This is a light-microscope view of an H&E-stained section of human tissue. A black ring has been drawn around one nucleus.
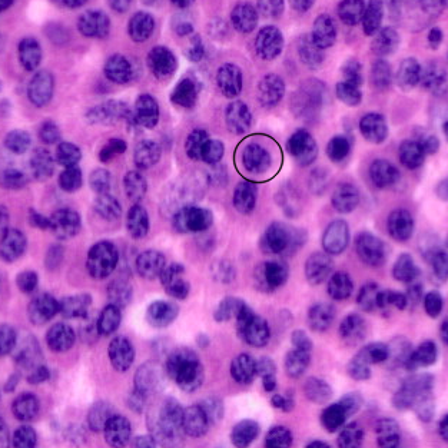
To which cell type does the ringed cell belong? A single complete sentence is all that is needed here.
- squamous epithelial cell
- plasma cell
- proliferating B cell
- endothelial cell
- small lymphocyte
Among the cells in this section, the ringed cell is a plasma cell.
